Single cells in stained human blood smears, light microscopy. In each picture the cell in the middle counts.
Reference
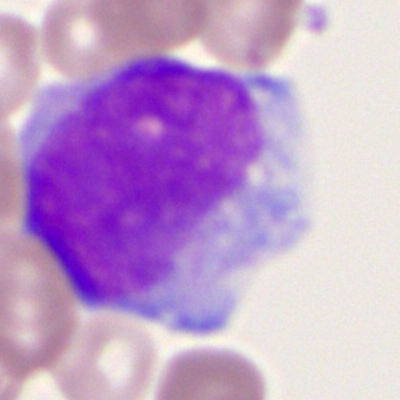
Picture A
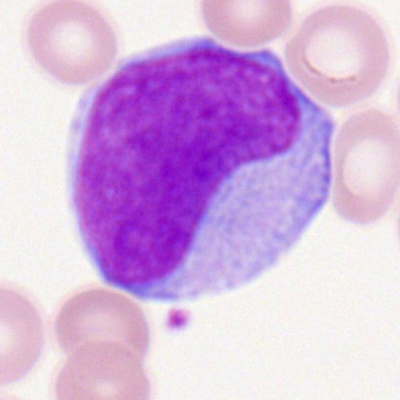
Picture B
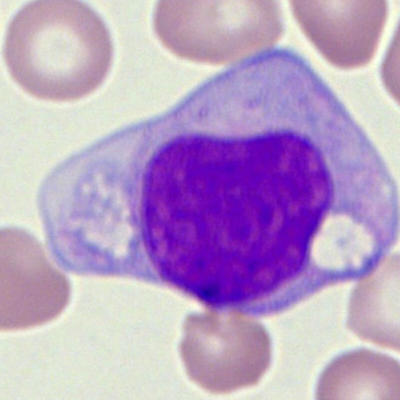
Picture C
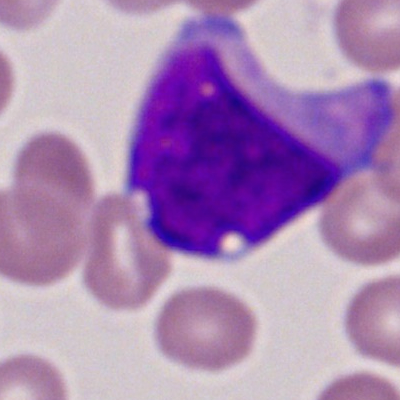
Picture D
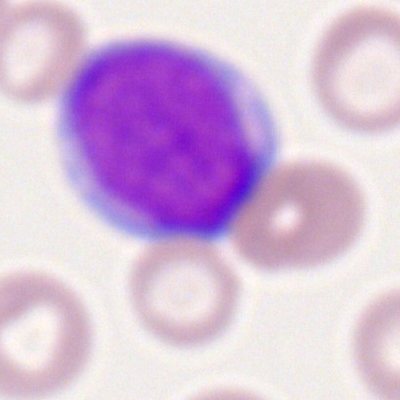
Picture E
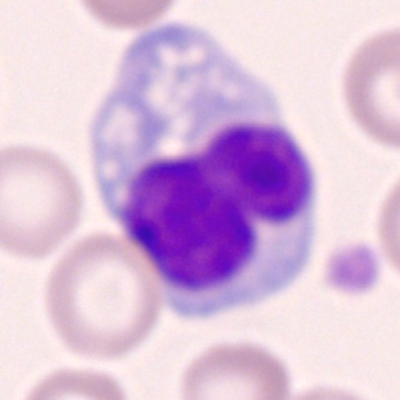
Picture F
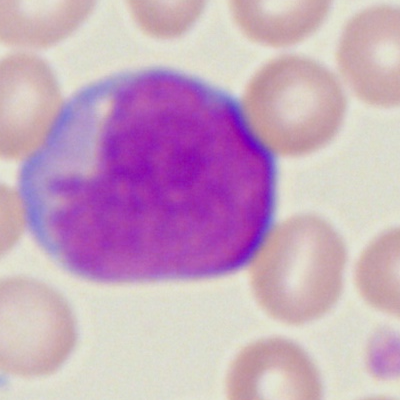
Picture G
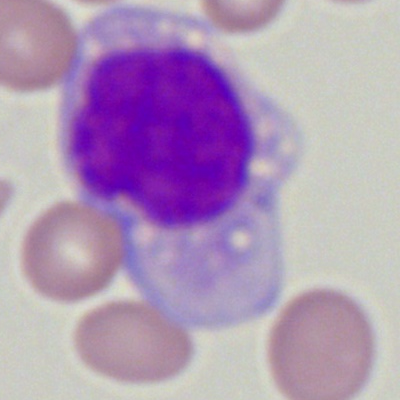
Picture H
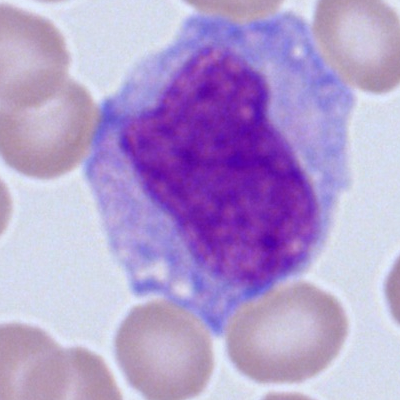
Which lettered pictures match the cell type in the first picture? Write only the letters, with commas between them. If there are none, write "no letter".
A, C, D, F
